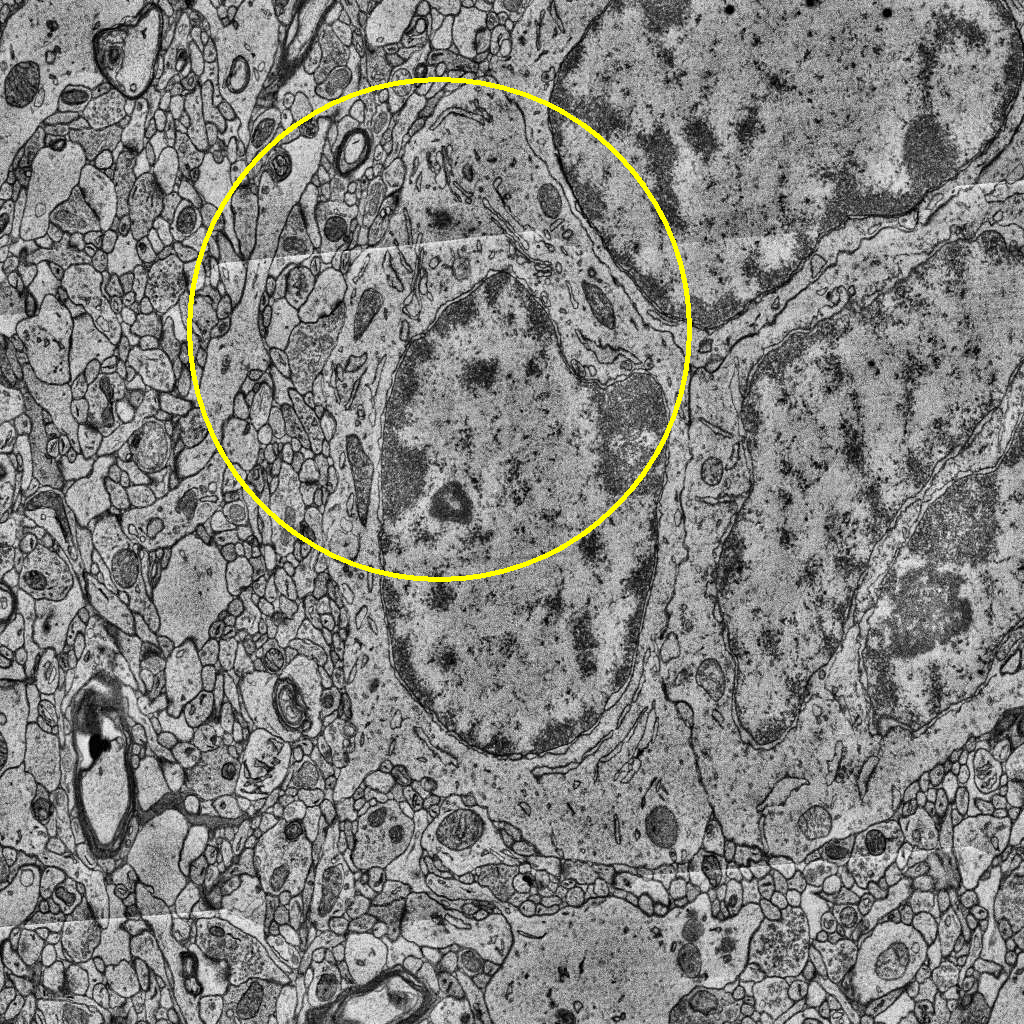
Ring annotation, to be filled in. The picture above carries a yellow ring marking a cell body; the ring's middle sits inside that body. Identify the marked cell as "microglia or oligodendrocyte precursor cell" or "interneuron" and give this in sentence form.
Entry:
The cell at the middle of the ring is a microglial cell or oligodendrocyte precursor cell.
